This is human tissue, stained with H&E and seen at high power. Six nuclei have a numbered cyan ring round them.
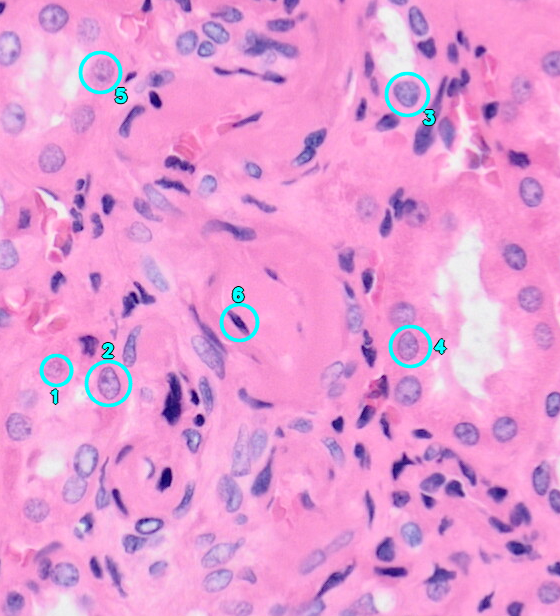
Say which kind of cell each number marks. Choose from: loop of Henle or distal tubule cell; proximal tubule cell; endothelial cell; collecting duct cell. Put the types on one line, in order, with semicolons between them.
proximal tubule cell; proximal tubule cell; collecting duct cell; proximal tubule cell; proximal tubule cell; endothelial cell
